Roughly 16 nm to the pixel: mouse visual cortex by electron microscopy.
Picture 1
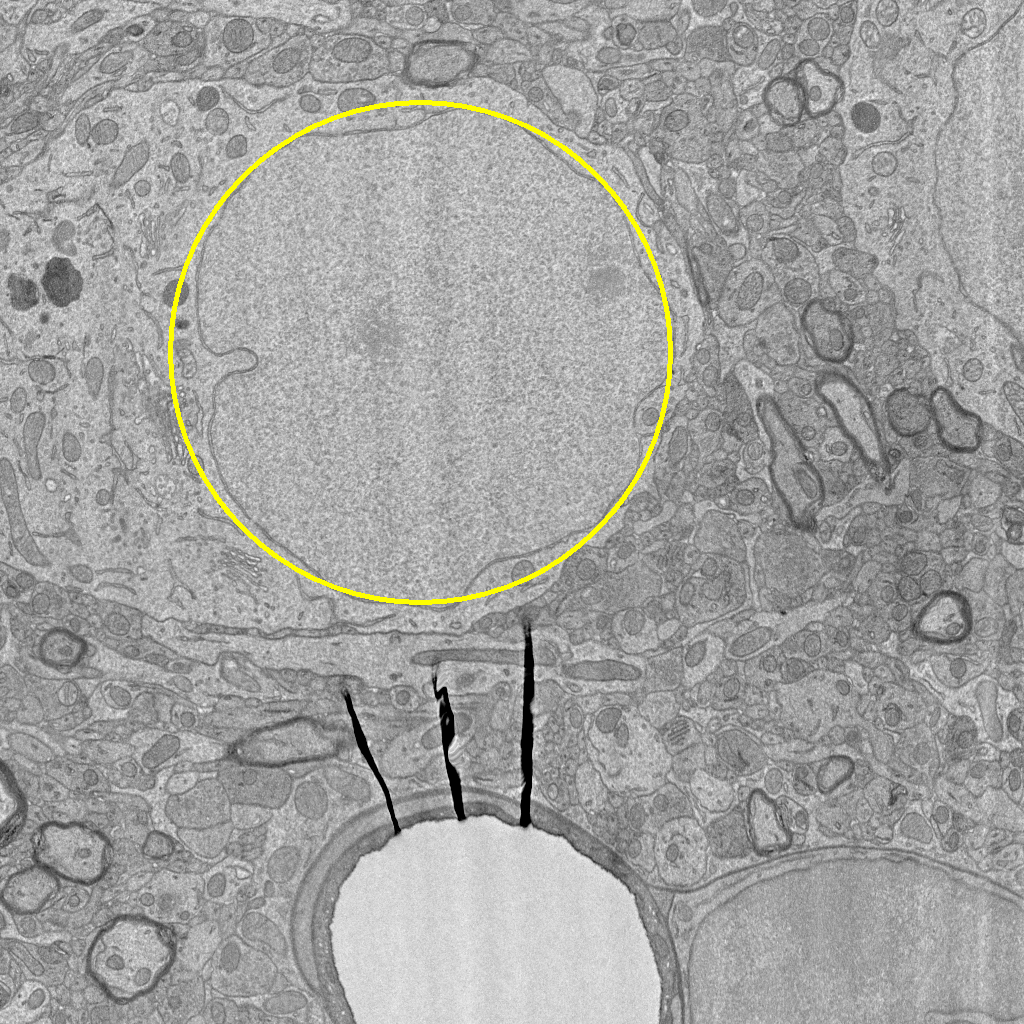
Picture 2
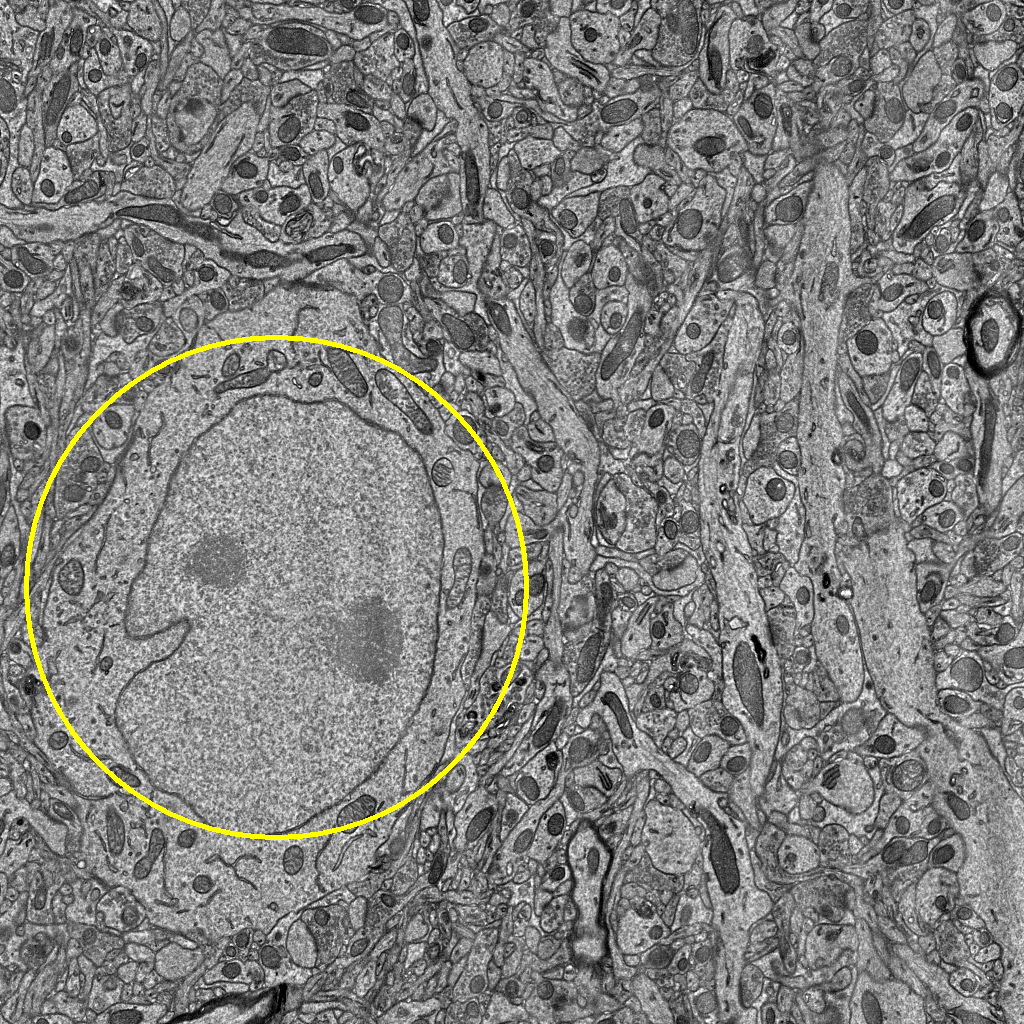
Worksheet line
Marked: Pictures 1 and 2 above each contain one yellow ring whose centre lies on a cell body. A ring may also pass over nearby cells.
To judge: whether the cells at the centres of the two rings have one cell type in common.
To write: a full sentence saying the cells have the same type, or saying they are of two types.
The cells at the centres of the rings in Picture 1 and Picture 2 have the same type.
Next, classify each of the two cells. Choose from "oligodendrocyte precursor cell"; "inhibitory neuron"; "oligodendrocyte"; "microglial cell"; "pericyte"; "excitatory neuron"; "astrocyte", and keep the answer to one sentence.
The second cell is an excitatory neuron, just as the first is.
